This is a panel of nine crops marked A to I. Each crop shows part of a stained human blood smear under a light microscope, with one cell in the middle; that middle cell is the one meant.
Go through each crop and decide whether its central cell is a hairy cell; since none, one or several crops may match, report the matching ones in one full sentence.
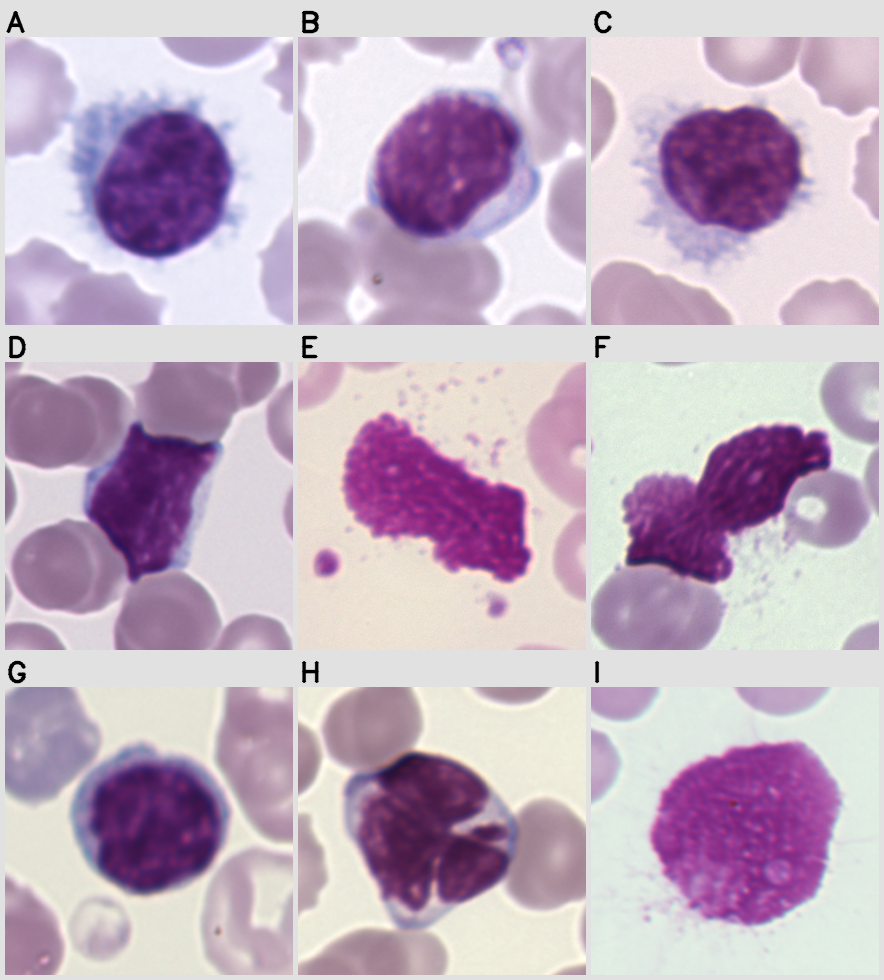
Crops A and C are identified as showing hairy cells.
